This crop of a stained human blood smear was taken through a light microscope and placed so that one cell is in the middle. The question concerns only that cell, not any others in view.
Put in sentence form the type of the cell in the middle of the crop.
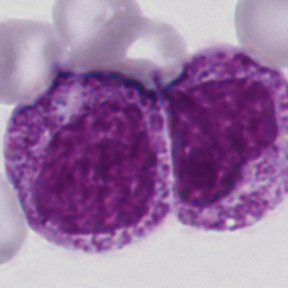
On this slide crop, the central cell is a myelocyte.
